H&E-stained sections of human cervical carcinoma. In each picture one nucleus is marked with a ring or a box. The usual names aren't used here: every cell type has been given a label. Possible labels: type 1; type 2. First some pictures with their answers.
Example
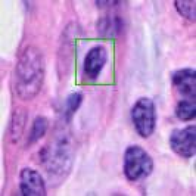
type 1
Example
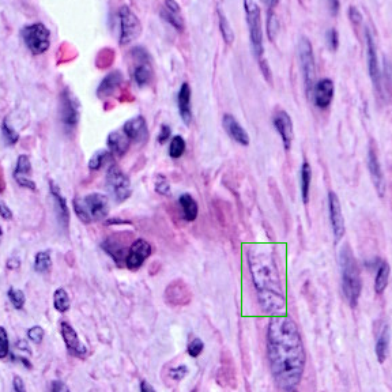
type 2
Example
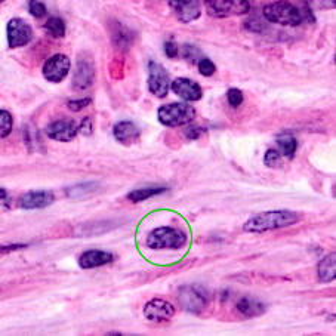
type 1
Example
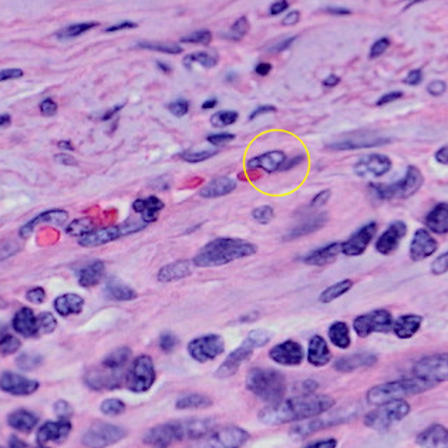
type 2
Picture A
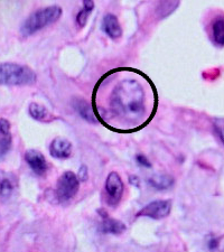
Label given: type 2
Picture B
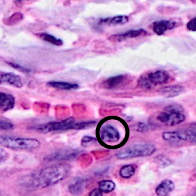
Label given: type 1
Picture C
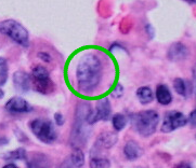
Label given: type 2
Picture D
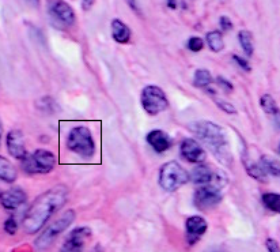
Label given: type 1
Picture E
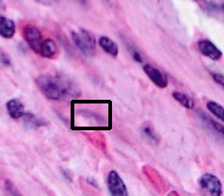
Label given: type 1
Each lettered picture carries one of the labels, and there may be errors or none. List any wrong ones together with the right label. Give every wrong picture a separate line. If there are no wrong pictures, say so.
E: not type 1 but type 2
